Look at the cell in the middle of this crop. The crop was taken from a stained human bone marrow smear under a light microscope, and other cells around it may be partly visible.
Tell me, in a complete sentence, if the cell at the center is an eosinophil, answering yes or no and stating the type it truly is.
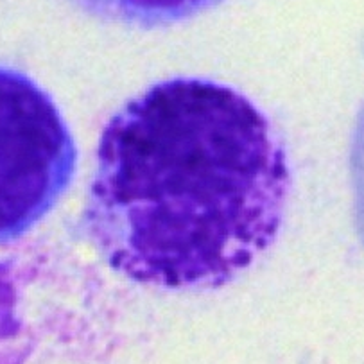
No, the centered cell is a basophil and not an eosinophil at all.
